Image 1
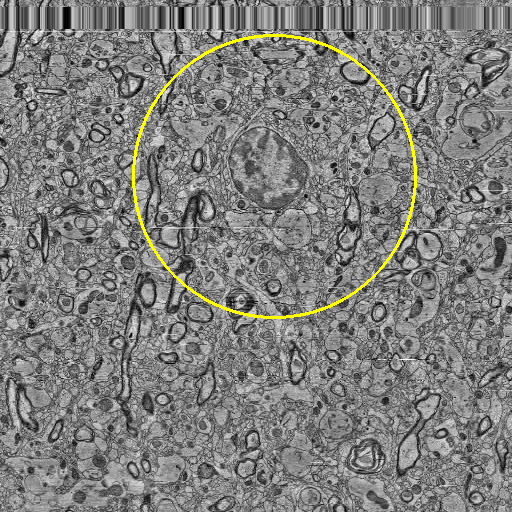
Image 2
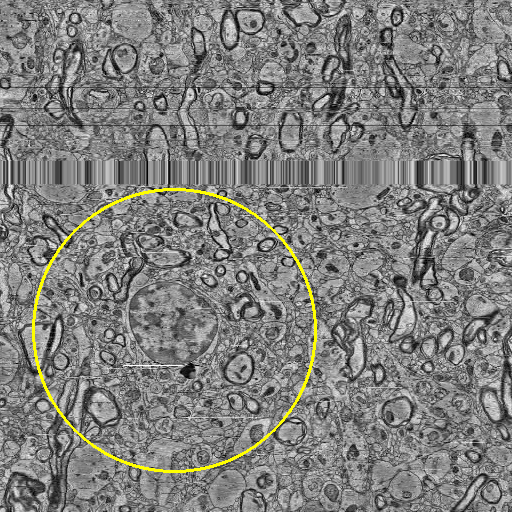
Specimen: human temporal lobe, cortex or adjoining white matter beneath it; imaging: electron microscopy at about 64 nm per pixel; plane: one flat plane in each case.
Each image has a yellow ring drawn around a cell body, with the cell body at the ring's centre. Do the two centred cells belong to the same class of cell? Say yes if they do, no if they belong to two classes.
yes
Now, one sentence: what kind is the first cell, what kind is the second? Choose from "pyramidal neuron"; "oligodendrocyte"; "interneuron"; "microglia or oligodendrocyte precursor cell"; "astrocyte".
In both pictures the ring is centred on a microglial cell or oligodendrocyte precursor cell.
